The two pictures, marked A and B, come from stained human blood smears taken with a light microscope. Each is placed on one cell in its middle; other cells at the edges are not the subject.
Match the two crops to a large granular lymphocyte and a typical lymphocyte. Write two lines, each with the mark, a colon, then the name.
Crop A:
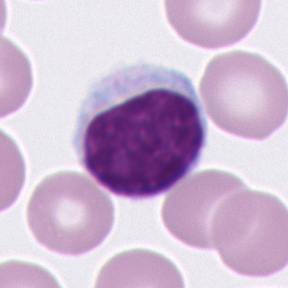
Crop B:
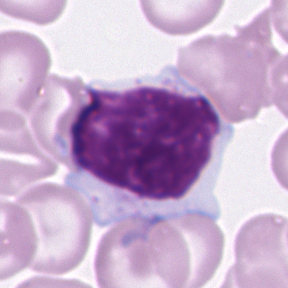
A: typical lymphocyte
B: large granular lymphocyte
